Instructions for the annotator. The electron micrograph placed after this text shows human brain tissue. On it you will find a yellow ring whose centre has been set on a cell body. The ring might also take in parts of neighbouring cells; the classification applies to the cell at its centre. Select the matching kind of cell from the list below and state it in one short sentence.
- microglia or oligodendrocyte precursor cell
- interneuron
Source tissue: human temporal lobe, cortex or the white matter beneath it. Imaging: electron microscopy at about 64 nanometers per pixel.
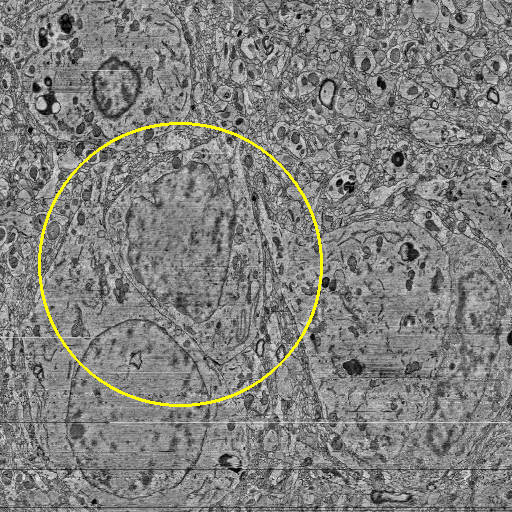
The ring is drawn on the cell body of an interneuron.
